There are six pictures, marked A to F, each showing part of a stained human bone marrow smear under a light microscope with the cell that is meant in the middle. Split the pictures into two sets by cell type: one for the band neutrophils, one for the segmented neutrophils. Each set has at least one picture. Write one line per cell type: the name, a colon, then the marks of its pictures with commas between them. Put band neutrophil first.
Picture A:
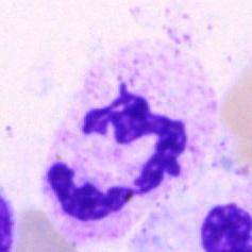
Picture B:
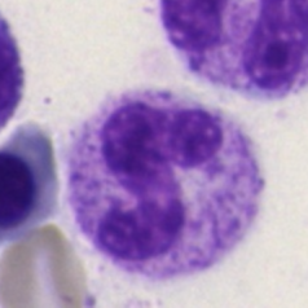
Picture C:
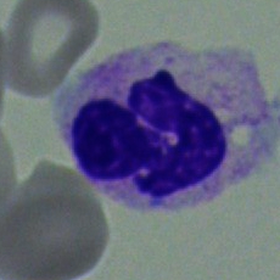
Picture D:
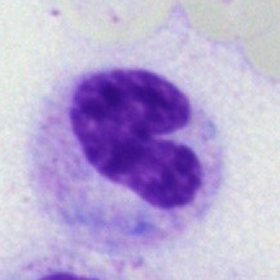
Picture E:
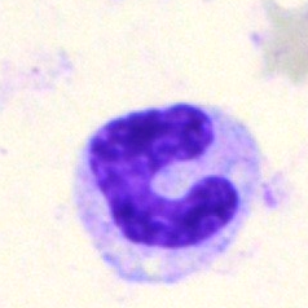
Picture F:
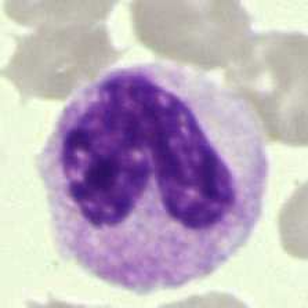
band neutrophil: D, E, F
segmented neutrophil: A, B, C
